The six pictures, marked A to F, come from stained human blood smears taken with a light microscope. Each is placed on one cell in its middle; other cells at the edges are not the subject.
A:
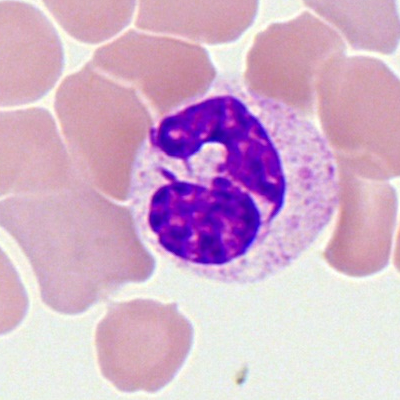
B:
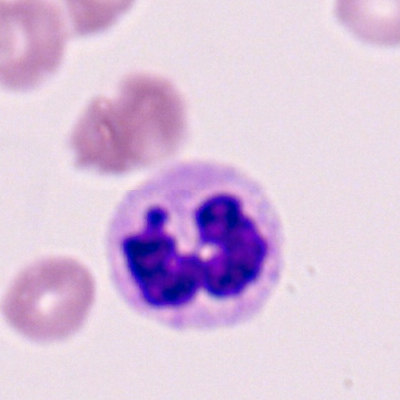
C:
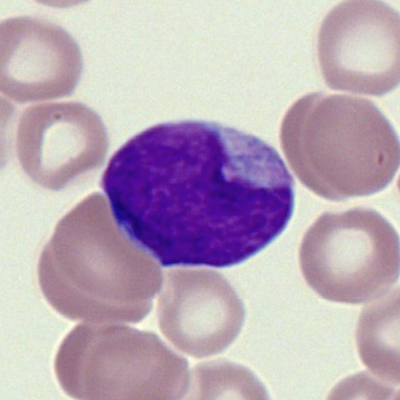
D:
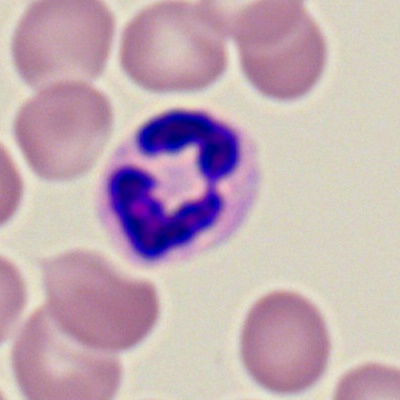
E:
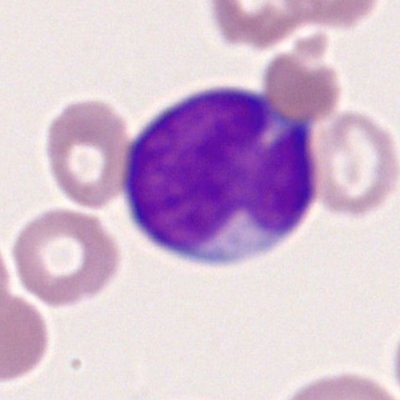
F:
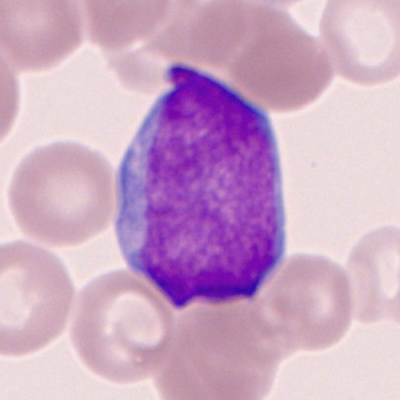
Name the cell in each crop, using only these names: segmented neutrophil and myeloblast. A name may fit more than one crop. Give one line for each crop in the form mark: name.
A: segmented neutrophil
B: segmented neutrophil
C: myeloblast
D: segmented neutrophil
E: myeloblast
F: myeloblast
